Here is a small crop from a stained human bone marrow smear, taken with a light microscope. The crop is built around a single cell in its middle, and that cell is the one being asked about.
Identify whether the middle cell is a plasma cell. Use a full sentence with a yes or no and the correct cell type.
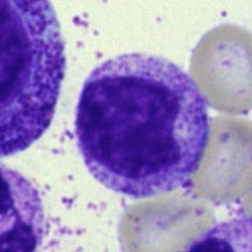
No, the centre of the crop is taken up by a myelocyte, not a plasma cell.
